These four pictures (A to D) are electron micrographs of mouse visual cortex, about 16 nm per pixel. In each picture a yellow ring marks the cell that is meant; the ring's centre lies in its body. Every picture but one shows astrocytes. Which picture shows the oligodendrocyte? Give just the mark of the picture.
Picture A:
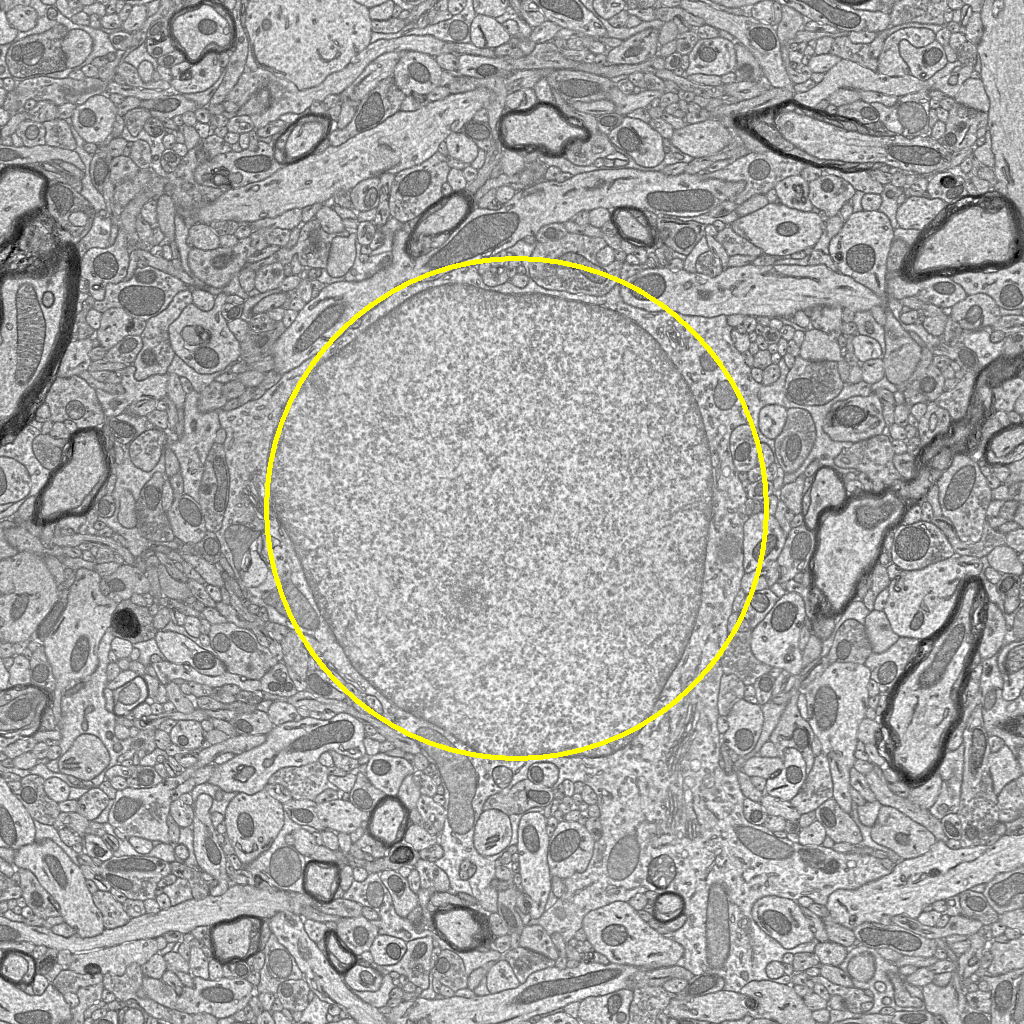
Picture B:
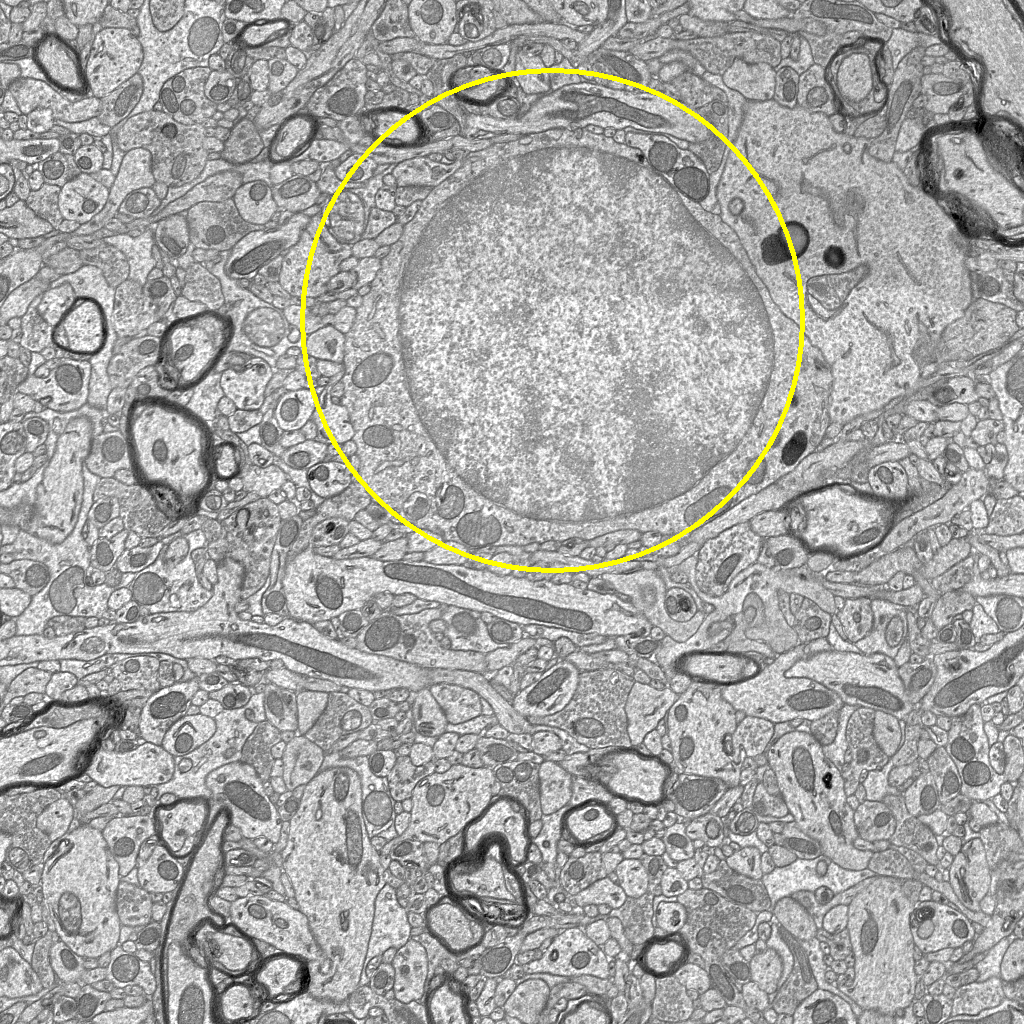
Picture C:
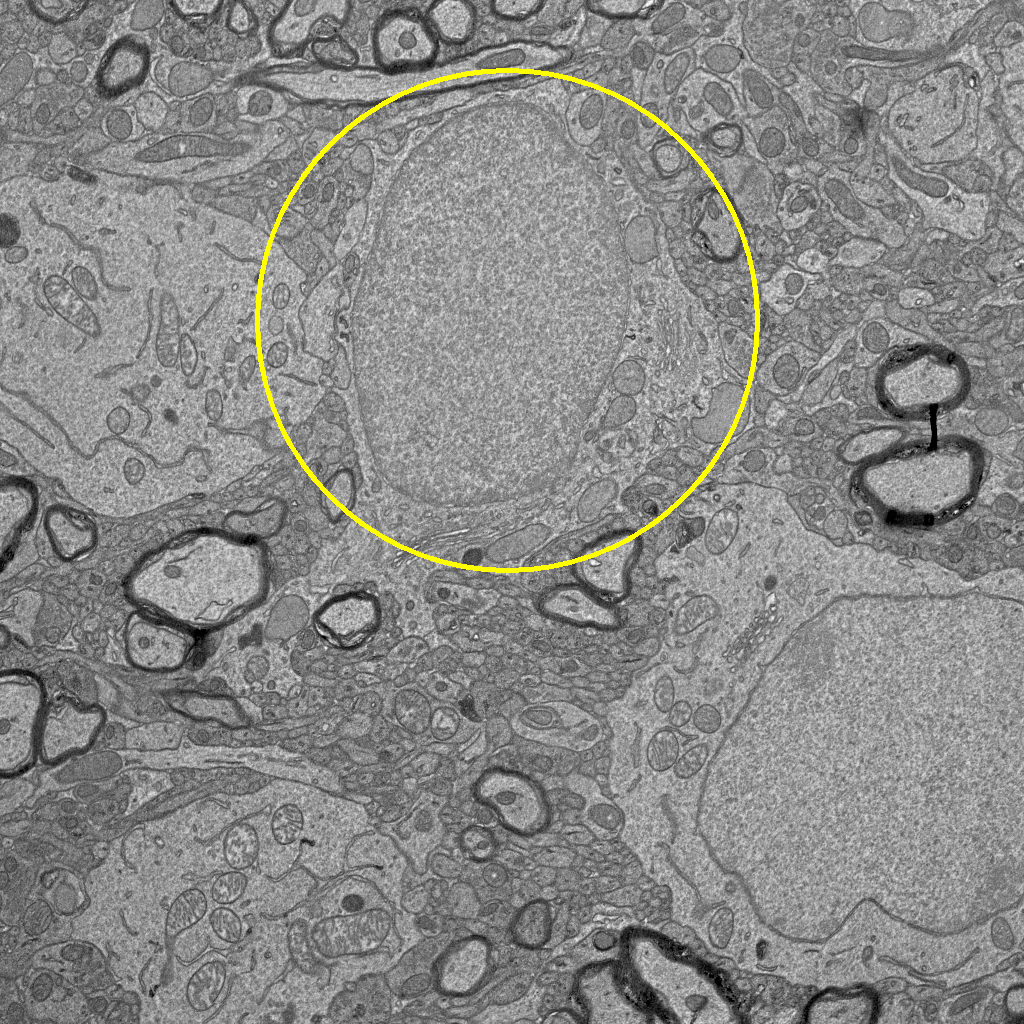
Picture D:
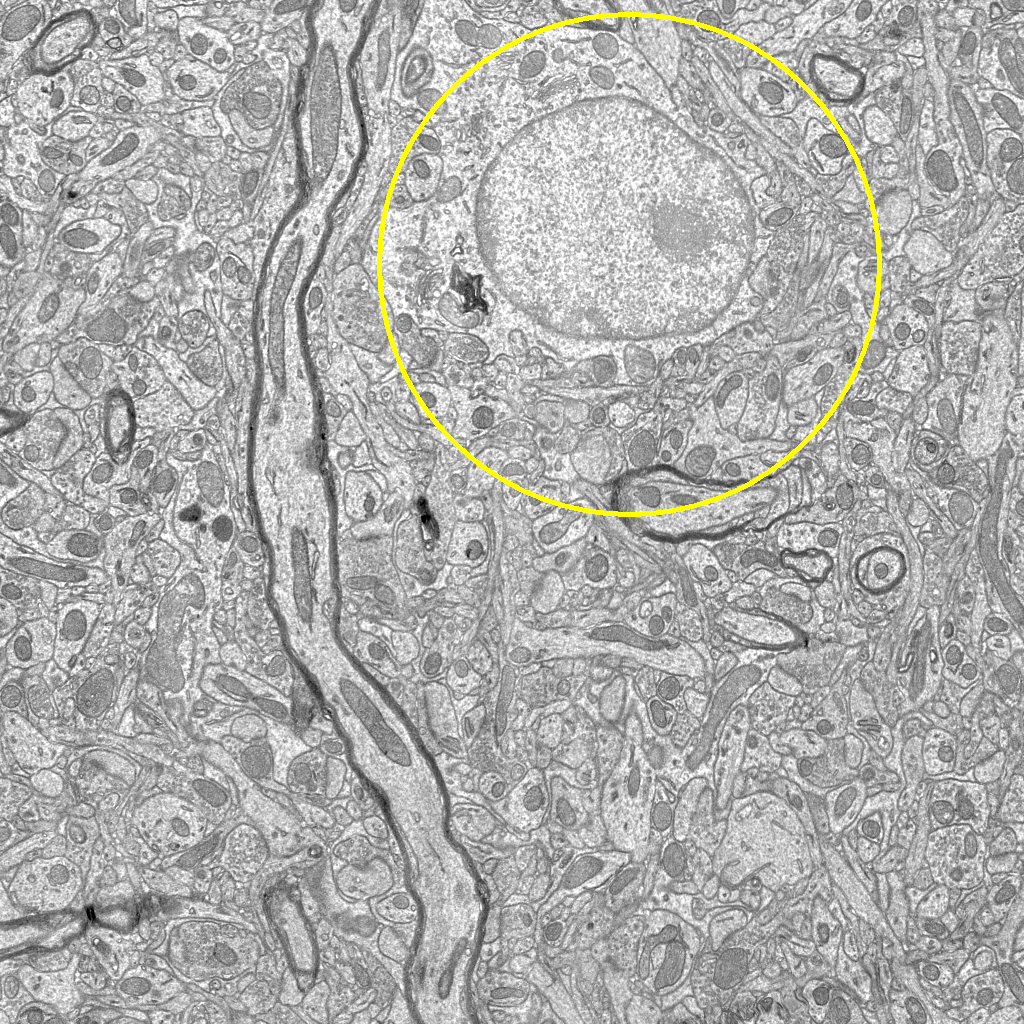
B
